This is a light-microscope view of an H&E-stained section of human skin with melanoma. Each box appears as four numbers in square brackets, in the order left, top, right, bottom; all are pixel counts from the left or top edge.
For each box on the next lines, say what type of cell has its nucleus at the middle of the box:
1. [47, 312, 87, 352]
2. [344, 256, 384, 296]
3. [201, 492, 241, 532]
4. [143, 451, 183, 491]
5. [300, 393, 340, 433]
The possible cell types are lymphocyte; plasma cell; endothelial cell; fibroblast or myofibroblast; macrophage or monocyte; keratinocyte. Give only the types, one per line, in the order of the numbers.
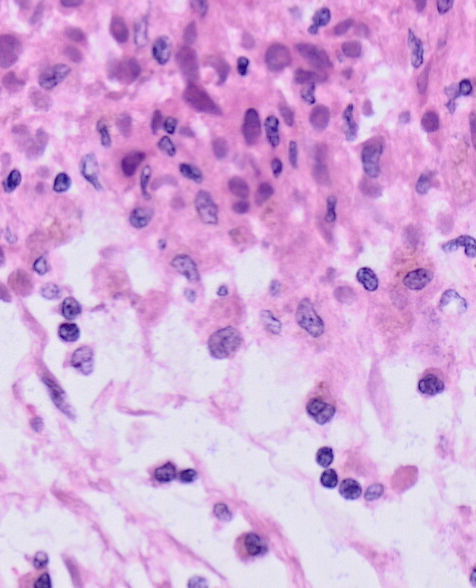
lymphocyte
lymphocyte
macrophage or monocyte
macrophage or monocyte
macrophage or monocyte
